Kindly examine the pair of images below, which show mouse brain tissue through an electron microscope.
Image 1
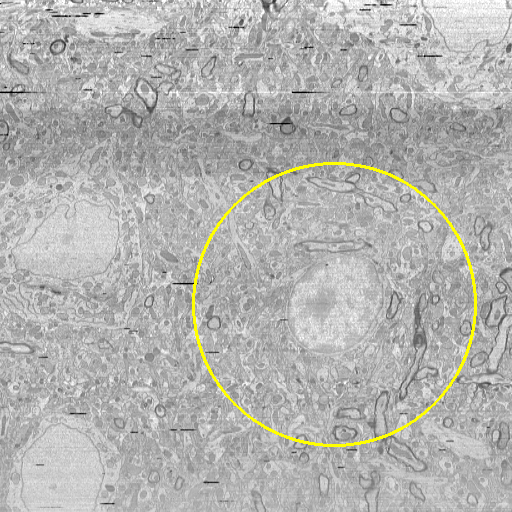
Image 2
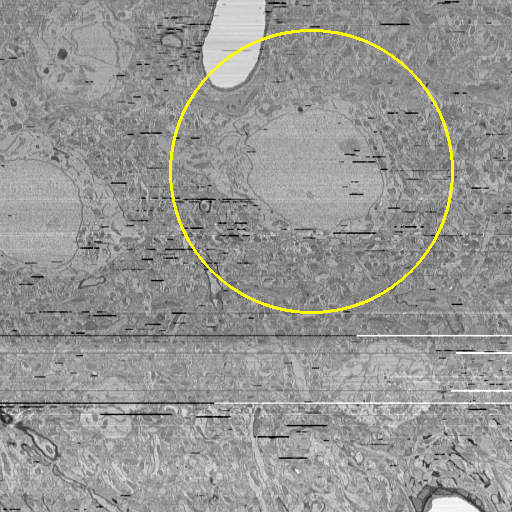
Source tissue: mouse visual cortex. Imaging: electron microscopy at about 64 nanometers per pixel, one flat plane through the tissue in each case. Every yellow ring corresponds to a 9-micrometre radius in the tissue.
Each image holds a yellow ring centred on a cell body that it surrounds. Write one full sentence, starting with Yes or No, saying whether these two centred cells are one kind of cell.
No, the cells at the centres of the yellow rings belong to two kinds of cell.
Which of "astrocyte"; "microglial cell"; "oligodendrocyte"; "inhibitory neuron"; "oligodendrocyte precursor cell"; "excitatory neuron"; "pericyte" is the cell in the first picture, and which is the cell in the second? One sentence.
The two differ: the first cell is an oligodendrocyte and the second is an excitatory neuron.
